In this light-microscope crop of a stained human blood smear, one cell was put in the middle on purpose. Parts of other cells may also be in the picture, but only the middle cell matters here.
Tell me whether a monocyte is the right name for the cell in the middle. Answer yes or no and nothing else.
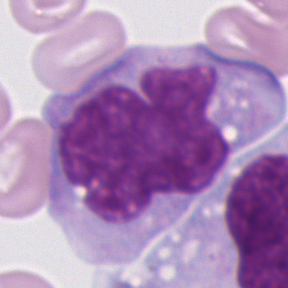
yes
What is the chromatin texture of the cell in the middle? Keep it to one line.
Check the chromatin: it is fine and not coarsely clumped.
